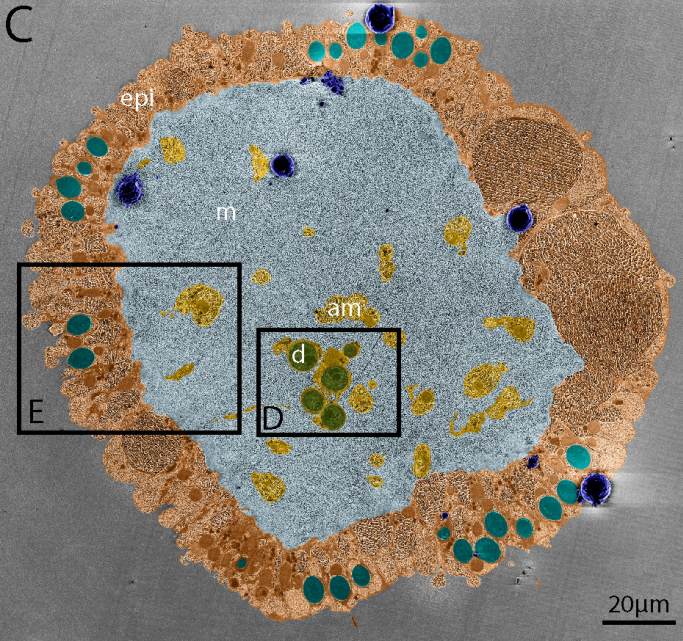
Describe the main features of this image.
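Cross-section of a roughly round cassiosome. A continuous outer epidermal layer of irregular, lobed cells, colored beige to orange, surrounds a large central mesoglea with a fine meshwork texture, colored light blue. Within the epidermis lie groups of smooth oval turquoise bodies near the surface, and several large rounded areas with a striated, fibrous texture. Scattered through the mesoglea are irregular yellow amoebocytes of varied shape. Near the centre-left a small cluster of round green dinoflagellates sits enclosed within yellow amoebocyte material.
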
